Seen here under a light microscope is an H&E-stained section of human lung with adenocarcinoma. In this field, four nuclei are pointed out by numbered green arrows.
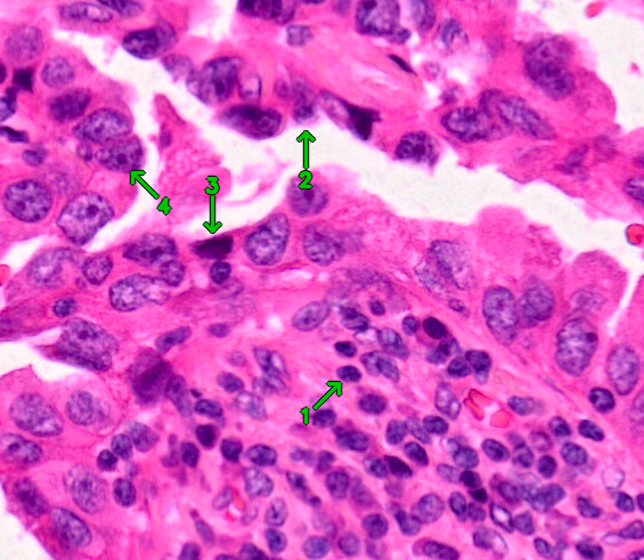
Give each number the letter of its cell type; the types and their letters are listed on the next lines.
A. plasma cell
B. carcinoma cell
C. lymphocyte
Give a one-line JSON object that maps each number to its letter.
{"1": "C", "2": "B", "3": "B", "4": "B"}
